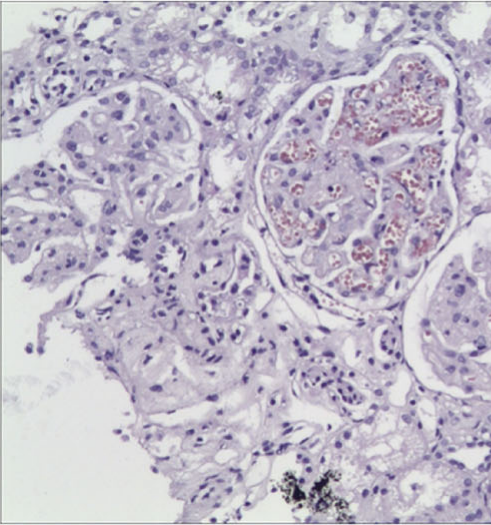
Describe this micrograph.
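Renal cortex with three glomeruli surrounded by tubules. One glomerulus has capillary loops distended and filled with red blood cells; the others are hypercellular with lobulated tufts inside the Bowman's capsules. The surrounding tubules are lined by pale, vacuolated epithelial cells, and some tubular lumina hold pale material.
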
